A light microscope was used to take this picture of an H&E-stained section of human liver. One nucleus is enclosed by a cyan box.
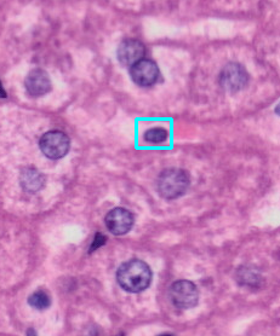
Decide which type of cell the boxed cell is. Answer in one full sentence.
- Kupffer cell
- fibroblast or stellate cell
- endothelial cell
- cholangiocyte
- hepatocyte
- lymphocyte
In this section, the boxed cell is a lymphocyte.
